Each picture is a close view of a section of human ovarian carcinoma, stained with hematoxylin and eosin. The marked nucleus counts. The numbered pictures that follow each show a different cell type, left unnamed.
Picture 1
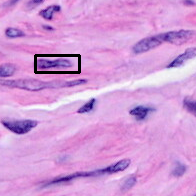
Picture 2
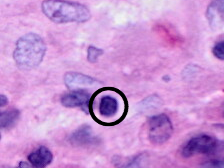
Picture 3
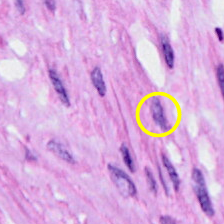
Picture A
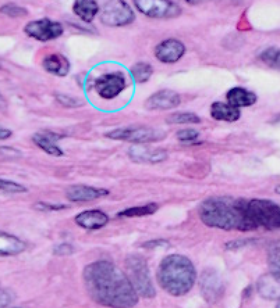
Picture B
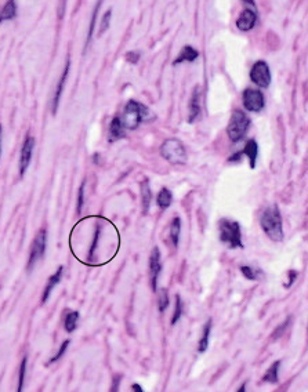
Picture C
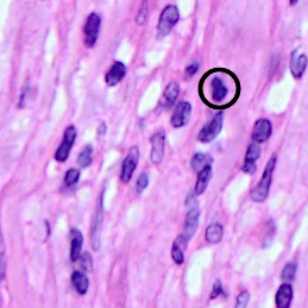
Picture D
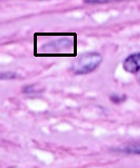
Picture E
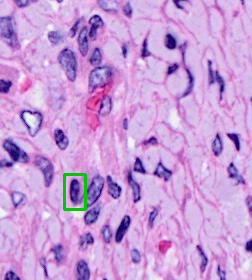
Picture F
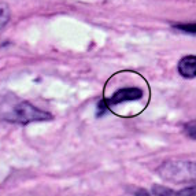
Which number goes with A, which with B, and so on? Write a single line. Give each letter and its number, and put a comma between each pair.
A 2, B 3, C 2, D 3, E 2, F 2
